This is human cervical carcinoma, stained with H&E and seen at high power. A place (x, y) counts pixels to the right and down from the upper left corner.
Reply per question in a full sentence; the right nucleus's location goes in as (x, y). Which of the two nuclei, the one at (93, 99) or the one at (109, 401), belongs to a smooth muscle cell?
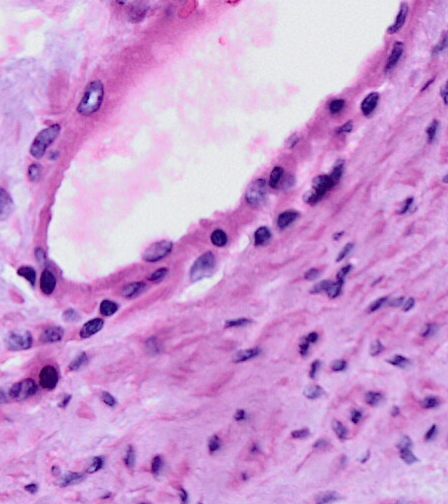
The nucleus at (109, 401) is assigned to a smooth muscle cell.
